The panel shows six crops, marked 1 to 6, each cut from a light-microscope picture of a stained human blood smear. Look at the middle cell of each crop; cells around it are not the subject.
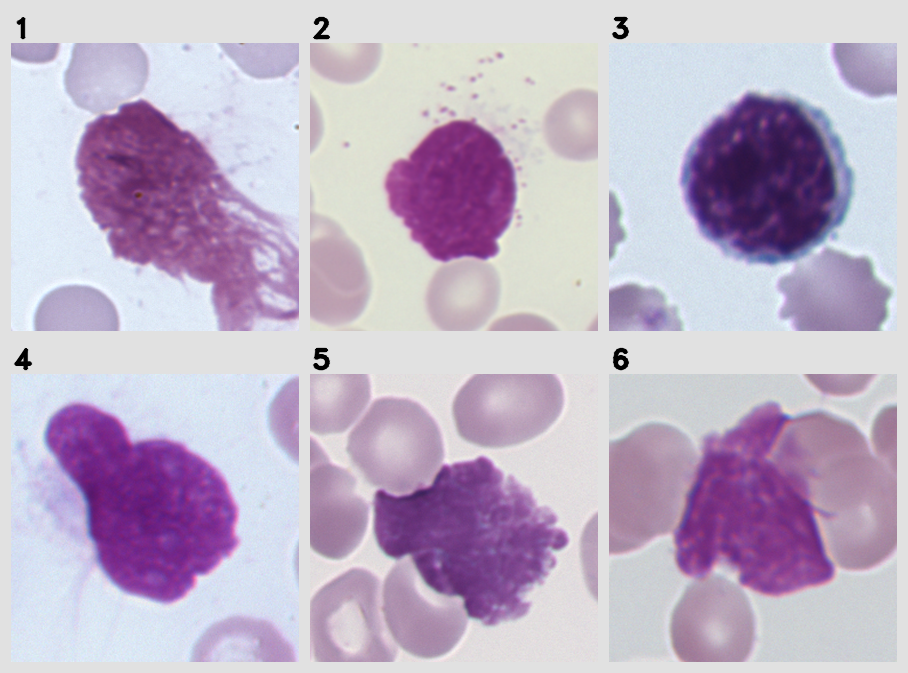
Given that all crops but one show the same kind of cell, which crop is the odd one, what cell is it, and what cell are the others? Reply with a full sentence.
The pattern of smudge cells across the crops is broken only by crop 3, which shows a typical lymphocyte.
